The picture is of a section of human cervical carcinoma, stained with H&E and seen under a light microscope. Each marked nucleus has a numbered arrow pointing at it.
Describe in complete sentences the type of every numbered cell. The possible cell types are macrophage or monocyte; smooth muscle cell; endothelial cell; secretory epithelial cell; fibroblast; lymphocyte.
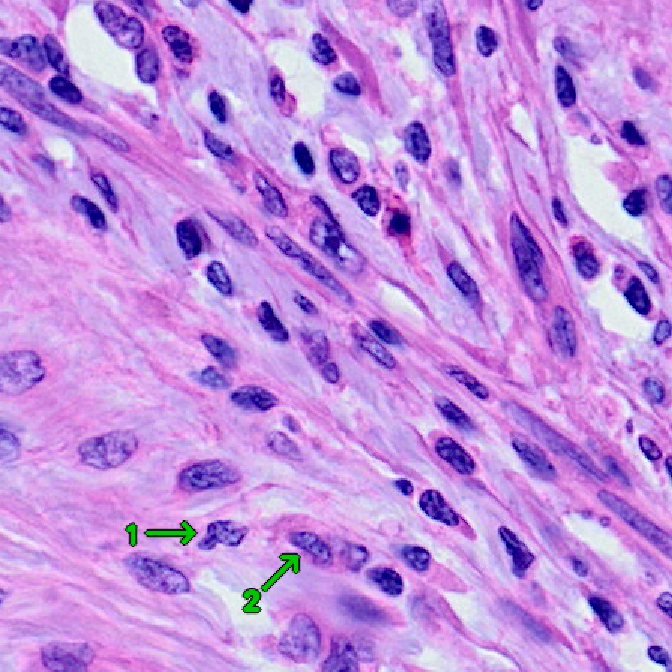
Cell 1 is a lymphocyte. Cell 2 is an endothelial cell.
